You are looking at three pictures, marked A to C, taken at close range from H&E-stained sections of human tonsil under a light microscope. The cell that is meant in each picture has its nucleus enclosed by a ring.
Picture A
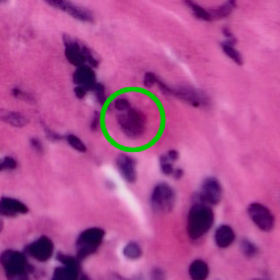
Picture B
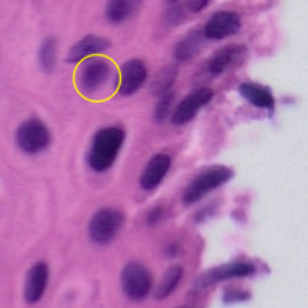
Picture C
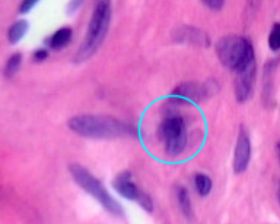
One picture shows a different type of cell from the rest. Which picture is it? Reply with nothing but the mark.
B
